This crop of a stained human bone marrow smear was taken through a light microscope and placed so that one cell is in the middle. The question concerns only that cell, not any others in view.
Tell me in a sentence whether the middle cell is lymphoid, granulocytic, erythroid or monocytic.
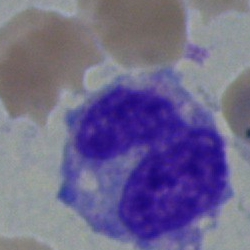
Regarding its lineage, the centered cell is monocytic.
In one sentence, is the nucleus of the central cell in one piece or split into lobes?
Rather than a single mass, the nucleus forms two or more lobes.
